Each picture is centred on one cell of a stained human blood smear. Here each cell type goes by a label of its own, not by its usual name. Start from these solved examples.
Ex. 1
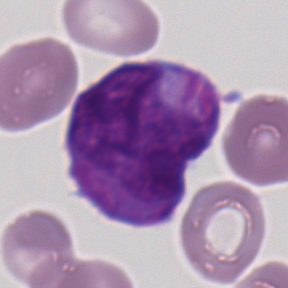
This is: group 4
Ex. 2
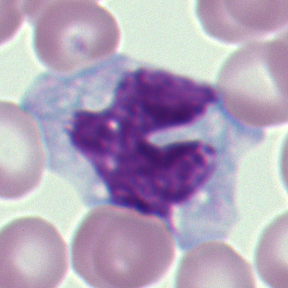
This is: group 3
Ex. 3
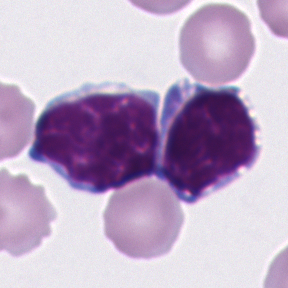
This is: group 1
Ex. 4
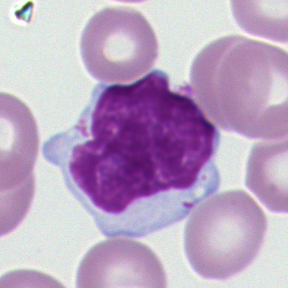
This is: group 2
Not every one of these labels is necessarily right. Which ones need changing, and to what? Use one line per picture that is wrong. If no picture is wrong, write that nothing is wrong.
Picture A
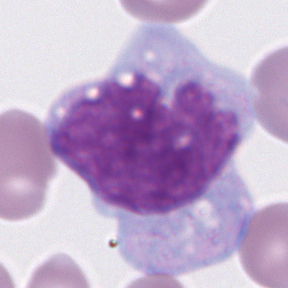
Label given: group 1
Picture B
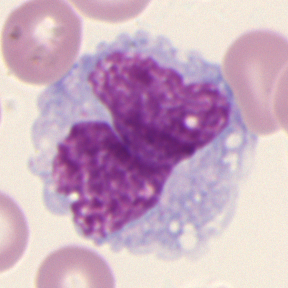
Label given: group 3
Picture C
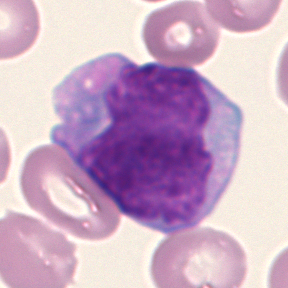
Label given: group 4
A: change group 1 to group 3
